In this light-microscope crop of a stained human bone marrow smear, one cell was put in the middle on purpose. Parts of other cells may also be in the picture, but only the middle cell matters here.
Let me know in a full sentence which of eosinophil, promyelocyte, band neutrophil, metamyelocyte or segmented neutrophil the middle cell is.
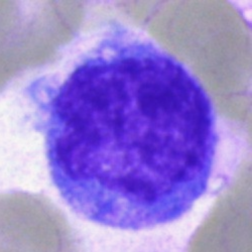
The cell at the centre of the field is a promyelocyte.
